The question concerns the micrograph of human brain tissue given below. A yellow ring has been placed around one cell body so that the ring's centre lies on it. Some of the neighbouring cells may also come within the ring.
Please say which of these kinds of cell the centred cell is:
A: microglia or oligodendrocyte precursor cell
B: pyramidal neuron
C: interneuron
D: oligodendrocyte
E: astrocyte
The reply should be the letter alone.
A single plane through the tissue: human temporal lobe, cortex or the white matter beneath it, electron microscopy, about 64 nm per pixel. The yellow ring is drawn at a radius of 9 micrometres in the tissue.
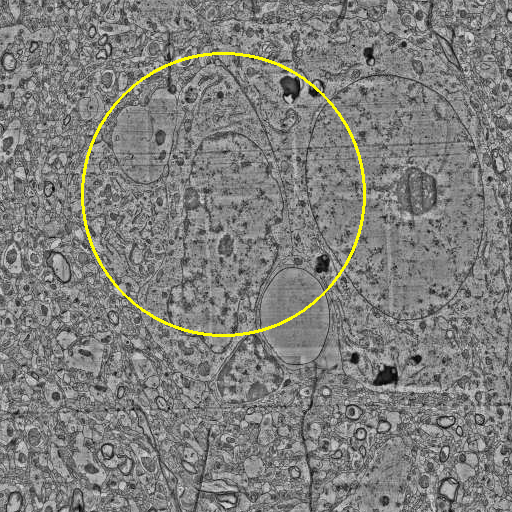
C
